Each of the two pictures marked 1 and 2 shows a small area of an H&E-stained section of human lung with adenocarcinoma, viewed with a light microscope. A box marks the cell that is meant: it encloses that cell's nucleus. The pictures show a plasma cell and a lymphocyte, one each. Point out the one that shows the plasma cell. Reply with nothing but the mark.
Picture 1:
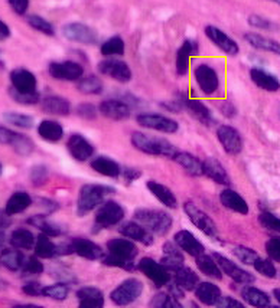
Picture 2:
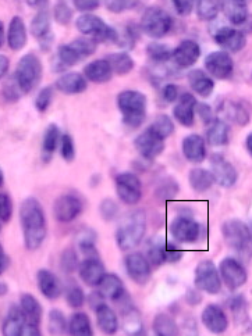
1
